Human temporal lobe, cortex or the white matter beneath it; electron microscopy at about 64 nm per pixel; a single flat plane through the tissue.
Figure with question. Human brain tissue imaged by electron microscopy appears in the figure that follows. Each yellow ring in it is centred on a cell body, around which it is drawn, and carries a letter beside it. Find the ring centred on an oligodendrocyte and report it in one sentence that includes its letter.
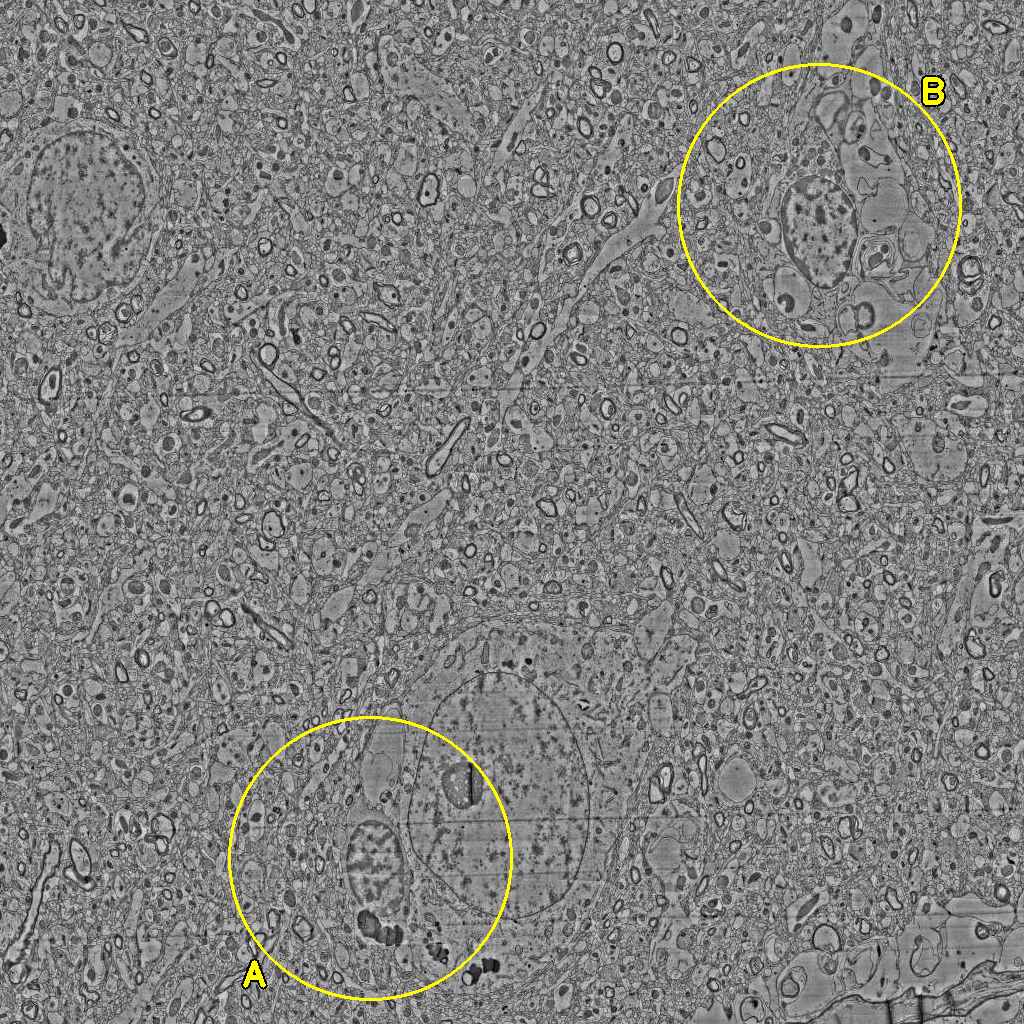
Ring A is the one centred on it.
